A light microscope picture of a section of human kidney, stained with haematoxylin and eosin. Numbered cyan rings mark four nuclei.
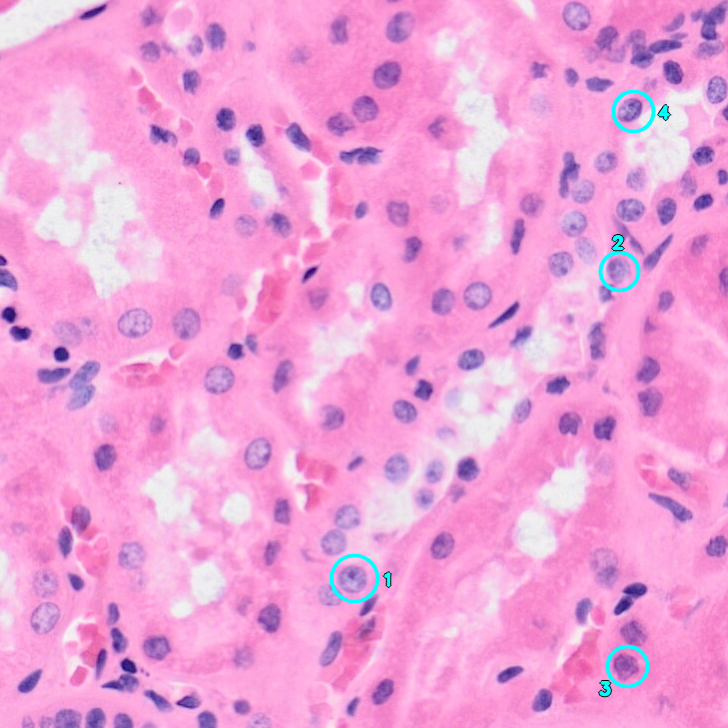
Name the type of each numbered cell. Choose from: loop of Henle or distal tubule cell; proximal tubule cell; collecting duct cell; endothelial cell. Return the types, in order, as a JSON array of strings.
["loop of Henle or distal tubule cell", "loop of Henle or distal tubule cell", "proximal tubule cell", "loop of Henle or distal tubule cell"]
